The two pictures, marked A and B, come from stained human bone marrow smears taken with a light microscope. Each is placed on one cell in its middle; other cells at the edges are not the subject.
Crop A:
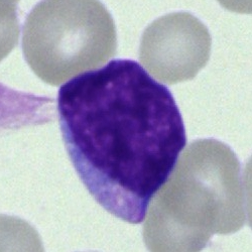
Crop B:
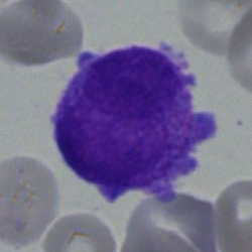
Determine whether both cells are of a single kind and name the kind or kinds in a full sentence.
Yes, the central cells in both of the crops are blasts.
